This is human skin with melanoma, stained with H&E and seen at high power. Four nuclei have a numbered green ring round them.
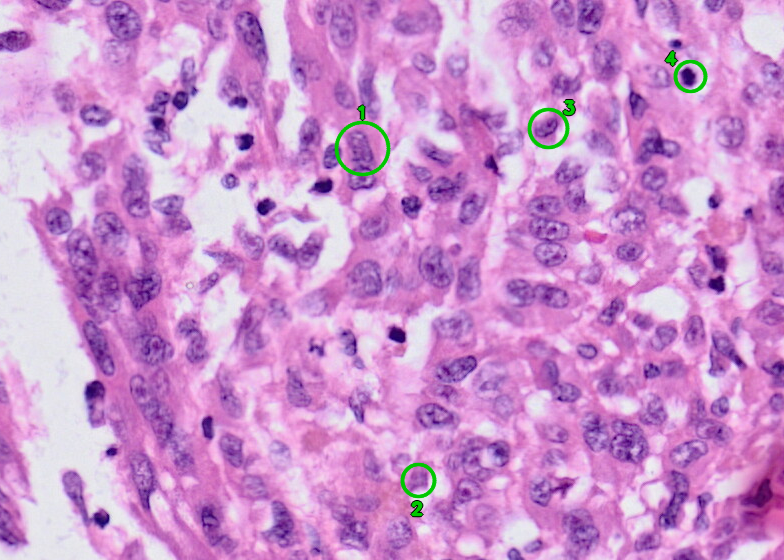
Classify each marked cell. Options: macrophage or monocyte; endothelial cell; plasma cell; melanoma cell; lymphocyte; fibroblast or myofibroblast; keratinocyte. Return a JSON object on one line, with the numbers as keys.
{"1": "melanoma cell", "2": "melanoma cell", "3": "melanoma cell", "4": "lymphocyte"}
